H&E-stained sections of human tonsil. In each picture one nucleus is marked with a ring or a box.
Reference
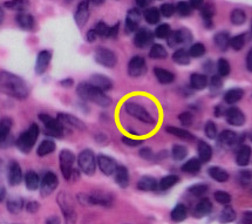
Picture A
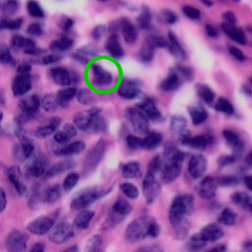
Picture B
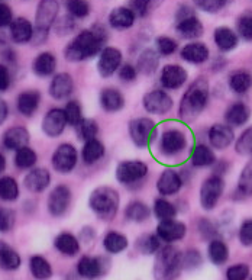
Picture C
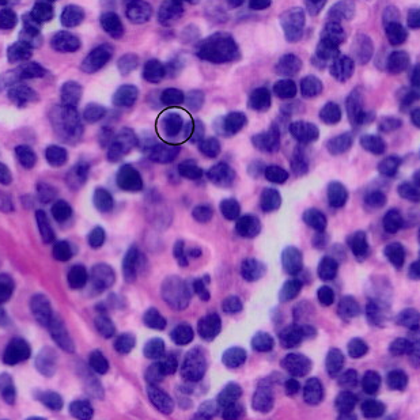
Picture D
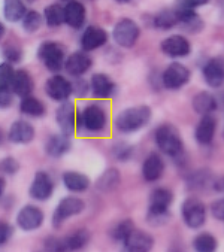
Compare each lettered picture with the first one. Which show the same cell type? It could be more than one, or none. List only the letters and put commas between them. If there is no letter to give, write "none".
none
